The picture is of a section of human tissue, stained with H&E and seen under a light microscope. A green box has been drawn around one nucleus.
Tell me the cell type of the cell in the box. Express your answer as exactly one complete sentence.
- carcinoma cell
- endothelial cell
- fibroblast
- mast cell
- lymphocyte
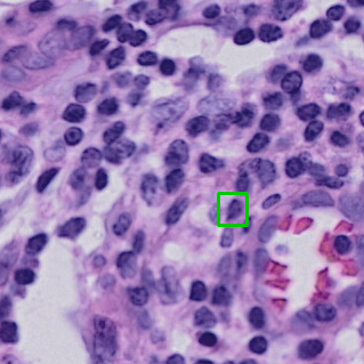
As classified here, the cell in the box is a lymphocyte.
